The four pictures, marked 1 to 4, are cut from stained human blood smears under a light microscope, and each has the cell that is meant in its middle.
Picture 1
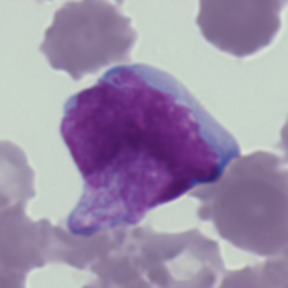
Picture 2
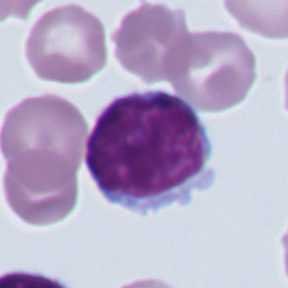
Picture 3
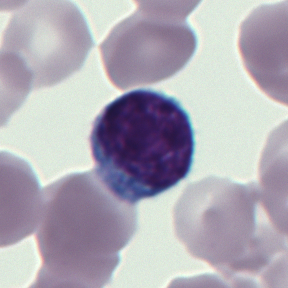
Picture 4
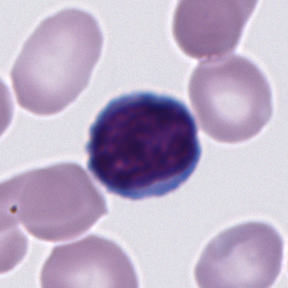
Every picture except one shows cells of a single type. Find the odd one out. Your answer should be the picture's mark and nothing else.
1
